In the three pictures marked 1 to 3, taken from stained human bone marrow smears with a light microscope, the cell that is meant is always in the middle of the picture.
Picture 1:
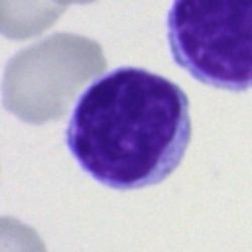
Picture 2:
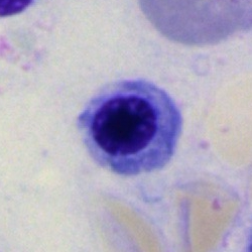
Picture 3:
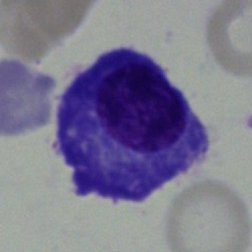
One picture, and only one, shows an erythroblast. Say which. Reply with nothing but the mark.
2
